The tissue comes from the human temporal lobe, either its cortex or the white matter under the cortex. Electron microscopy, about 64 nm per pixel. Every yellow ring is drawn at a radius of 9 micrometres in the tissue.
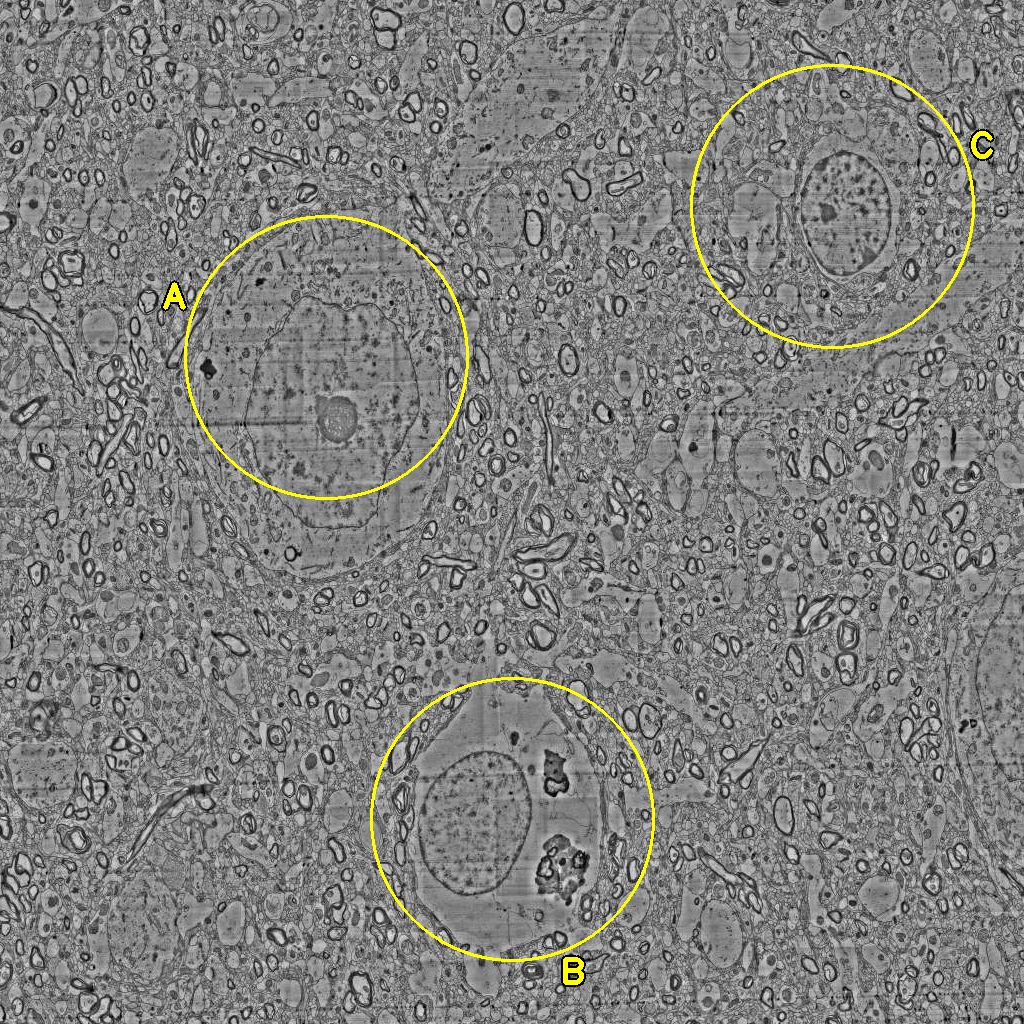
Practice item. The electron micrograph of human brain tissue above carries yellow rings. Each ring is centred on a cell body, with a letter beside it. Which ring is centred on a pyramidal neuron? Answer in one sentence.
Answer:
Ring A is centred on it.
